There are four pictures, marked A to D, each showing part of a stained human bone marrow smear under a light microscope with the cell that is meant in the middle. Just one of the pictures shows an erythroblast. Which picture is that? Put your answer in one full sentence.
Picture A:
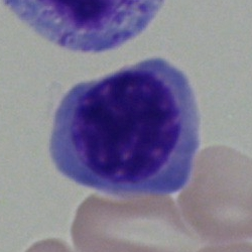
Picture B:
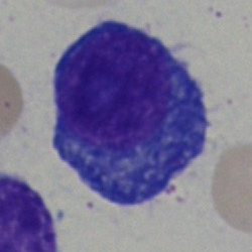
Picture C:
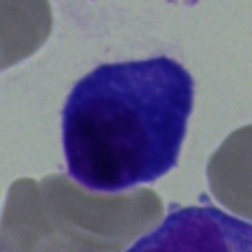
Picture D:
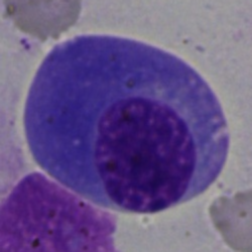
It is picture A that shows the erythroblast.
